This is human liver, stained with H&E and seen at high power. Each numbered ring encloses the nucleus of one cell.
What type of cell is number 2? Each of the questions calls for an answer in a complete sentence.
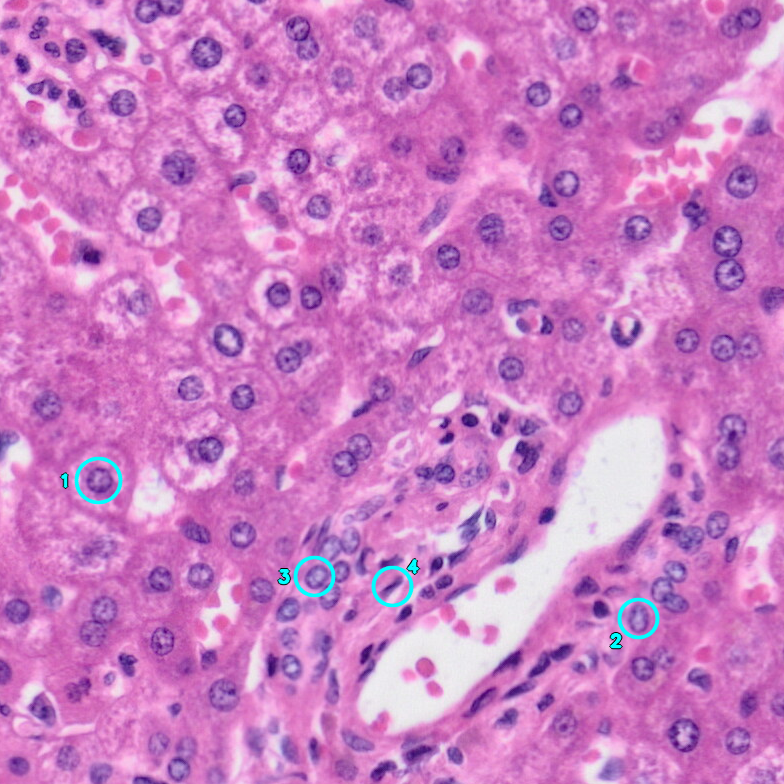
The cell pointed out as number 2 is a cholangiocyte.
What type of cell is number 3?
Among the marked cells, number 3 is a cholangiocyte.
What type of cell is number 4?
The identity of cell 4 is that of a fibroblast or stellate cell.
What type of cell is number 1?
Among the marked nuclei, number 1 belongs to a hepatocyte.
